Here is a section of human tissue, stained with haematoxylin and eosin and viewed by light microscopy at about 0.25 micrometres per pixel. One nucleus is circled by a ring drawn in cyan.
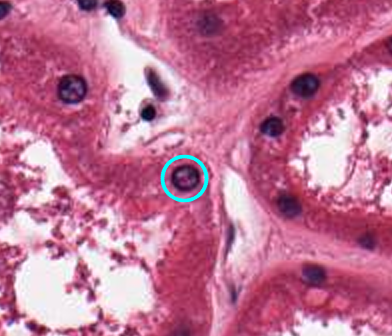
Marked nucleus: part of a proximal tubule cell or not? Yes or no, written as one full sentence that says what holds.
Yes, within this field the marked nucleus is that of a proximal tubule cell.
